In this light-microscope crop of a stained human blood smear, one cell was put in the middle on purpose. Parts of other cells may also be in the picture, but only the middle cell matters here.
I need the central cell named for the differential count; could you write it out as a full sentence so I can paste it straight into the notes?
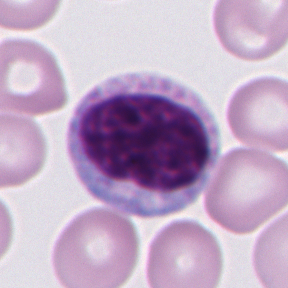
The center cell of this crop is a metamyelocyte.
